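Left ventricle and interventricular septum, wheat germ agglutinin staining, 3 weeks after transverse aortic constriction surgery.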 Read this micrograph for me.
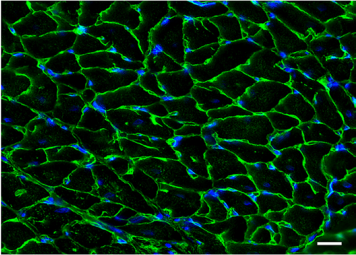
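The profiles are polygonal and tightly packed, and many of them are large. Blue nuclei lie at the margins of the profiles or inside them. The green outlines are thin and continuous, with little space between neighbouring cells. Faint green texture can be seen within some of the cell profiles.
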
